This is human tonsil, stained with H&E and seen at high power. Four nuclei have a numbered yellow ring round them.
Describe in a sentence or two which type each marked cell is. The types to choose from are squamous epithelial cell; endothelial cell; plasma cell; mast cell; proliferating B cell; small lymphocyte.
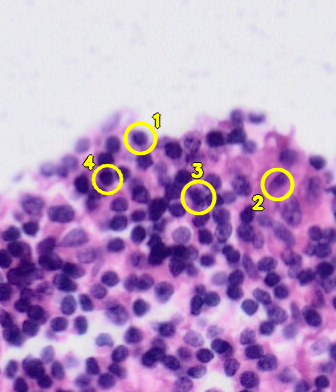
Cells 1, 3 and 4 are small lymphocytes. Cell 2 is an endothelial cell.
